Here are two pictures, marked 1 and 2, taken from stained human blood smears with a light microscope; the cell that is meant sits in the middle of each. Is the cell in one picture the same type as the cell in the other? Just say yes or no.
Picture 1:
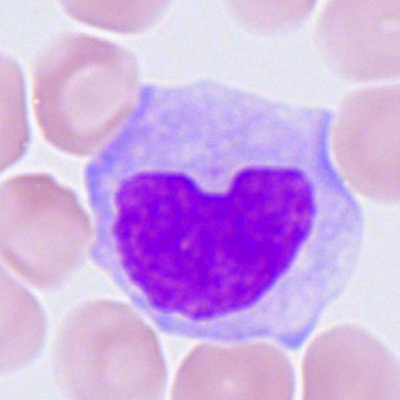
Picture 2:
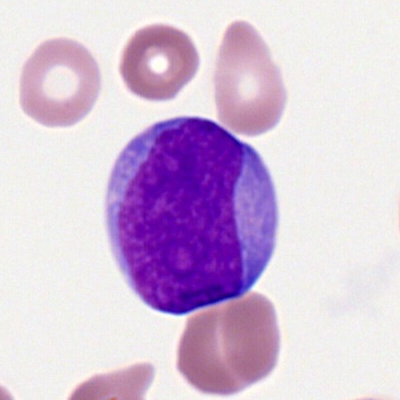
no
